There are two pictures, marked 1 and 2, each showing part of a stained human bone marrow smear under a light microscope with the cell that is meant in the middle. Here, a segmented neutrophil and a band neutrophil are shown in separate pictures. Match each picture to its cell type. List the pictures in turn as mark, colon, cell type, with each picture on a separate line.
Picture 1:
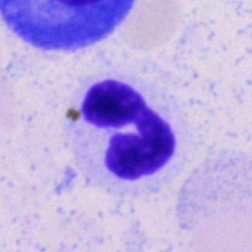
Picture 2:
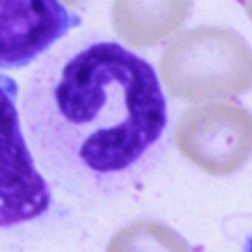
1: segmented neutrophil
2: band neutrophil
